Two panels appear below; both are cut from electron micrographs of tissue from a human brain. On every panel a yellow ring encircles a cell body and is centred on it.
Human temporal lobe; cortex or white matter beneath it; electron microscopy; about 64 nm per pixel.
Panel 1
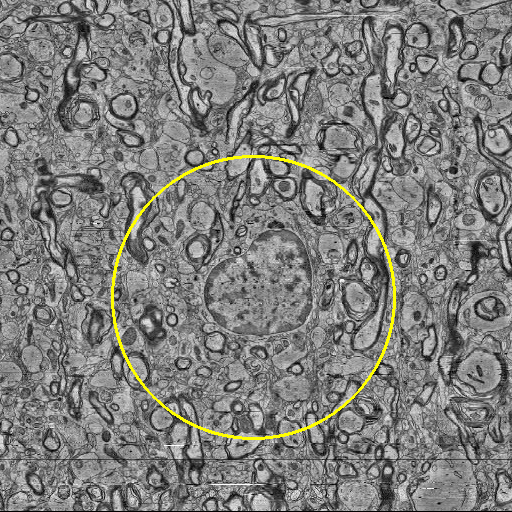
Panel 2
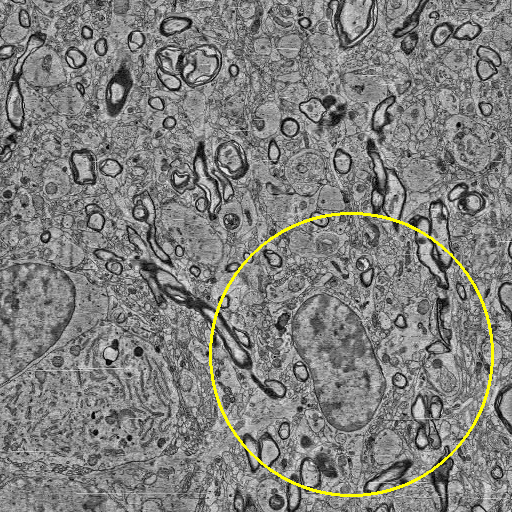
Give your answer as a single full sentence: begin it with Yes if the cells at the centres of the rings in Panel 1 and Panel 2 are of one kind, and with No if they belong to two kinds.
Yes, the cells in the middle of the rings in Panels 1 and 2 are of one kind.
